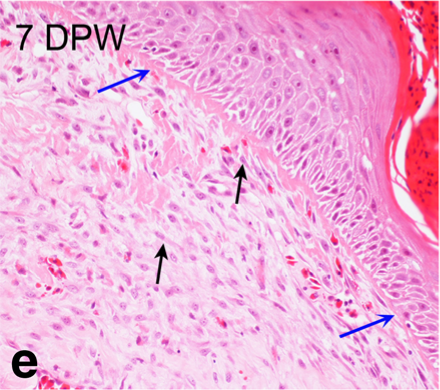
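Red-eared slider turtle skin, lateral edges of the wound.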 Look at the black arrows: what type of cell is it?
fibroblasts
